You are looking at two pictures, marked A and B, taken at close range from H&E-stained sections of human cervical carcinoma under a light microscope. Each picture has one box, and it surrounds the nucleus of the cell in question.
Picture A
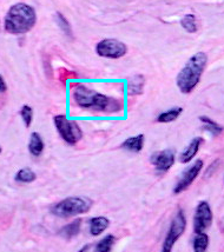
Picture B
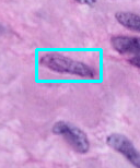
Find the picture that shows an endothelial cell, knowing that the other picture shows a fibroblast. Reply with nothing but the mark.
A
